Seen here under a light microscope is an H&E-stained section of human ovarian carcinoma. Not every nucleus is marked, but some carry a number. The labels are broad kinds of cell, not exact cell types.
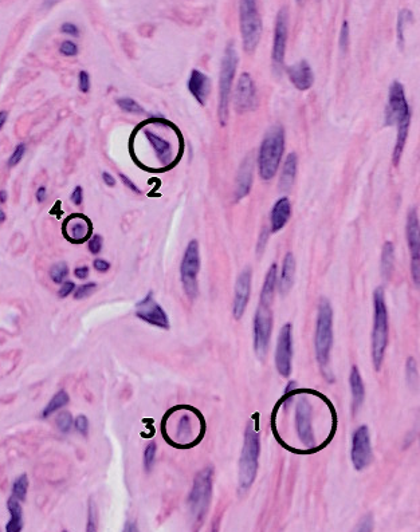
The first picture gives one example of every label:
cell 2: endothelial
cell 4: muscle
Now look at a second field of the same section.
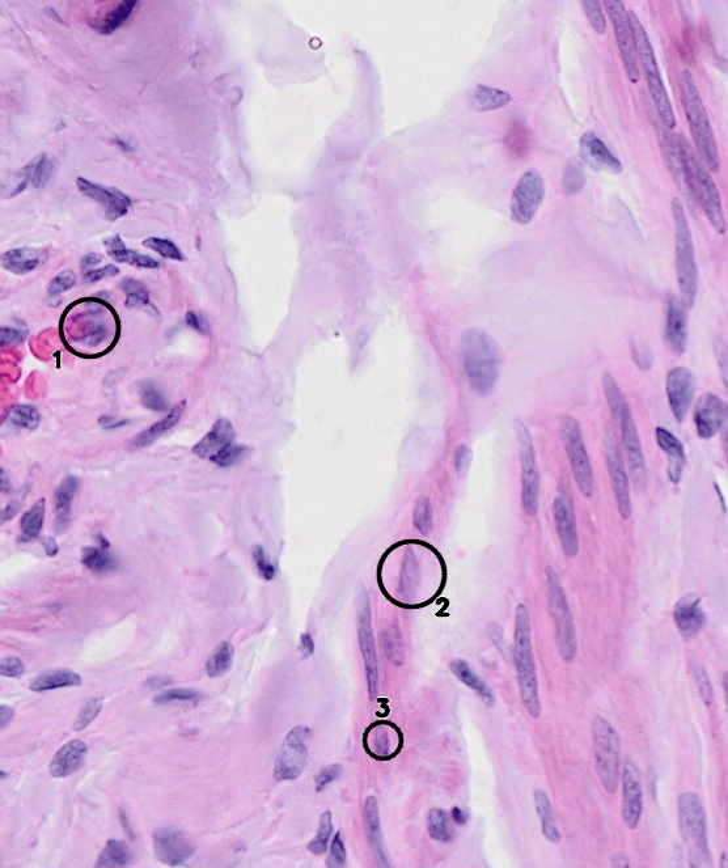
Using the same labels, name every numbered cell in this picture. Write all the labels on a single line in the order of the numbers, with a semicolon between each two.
endothelial; muscle; muscle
